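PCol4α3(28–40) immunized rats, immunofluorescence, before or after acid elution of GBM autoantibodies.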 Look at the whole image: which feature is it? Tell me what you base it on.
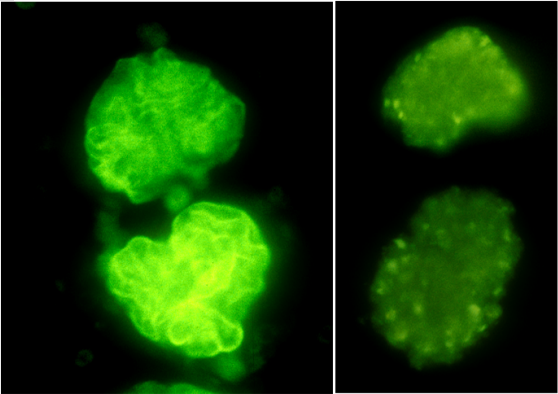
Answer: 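Isolated glomerulus. Rounded, lobulated tufts lying free on a dark background without surrounding tissue. Left image shows a convoluted pattern of looped capillary walls.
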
